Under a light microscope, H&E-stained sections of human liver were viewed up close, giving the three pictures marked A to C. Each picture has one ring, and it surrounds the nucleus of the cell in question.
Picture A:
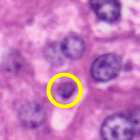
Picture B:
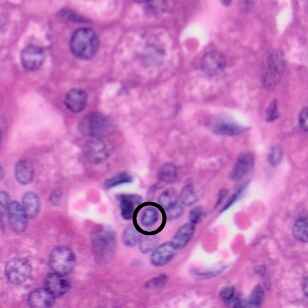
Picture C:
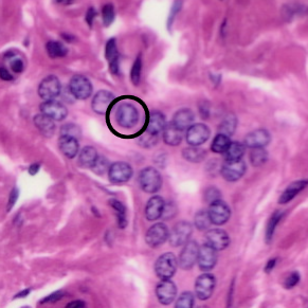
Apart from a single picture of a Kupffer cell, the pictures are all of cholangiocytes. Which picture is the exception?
A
